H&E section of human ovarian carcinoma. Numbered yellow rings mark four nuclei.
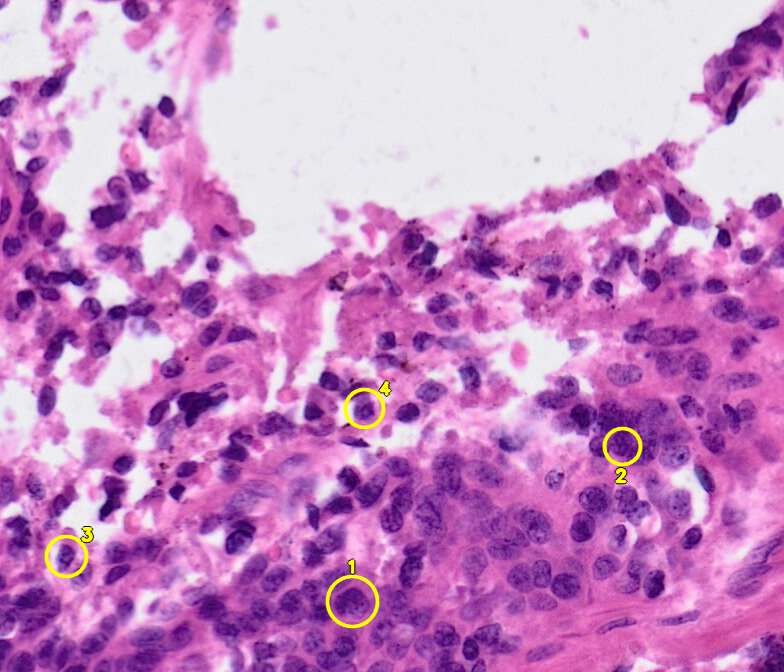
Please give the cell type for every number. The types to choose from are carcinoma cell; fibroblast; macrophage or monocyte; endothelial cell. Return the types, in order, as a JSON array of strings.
["carcinoma cell", "carcinoma cell", "macrophage or monocyte", "carcinoma cell"]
